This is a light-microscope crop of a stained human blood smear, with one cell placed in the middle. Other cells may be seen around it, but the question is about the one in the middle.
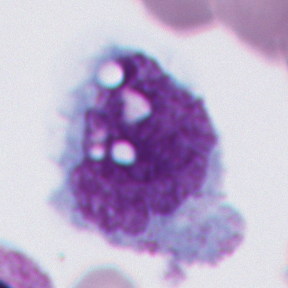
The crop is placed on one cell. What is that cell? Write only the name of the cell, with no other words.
monocyte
